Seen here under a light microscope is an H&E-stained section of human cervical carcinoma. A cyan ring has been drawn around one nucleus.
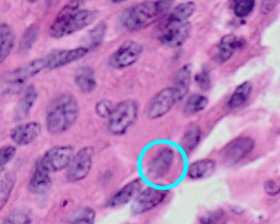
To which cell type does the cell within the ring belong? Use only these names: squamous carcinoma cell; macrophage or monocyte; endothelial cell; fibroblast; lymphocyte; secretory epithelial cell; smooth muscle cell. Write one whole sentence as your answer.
What the cell within the ring represents is a squamous carcinoma cell.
